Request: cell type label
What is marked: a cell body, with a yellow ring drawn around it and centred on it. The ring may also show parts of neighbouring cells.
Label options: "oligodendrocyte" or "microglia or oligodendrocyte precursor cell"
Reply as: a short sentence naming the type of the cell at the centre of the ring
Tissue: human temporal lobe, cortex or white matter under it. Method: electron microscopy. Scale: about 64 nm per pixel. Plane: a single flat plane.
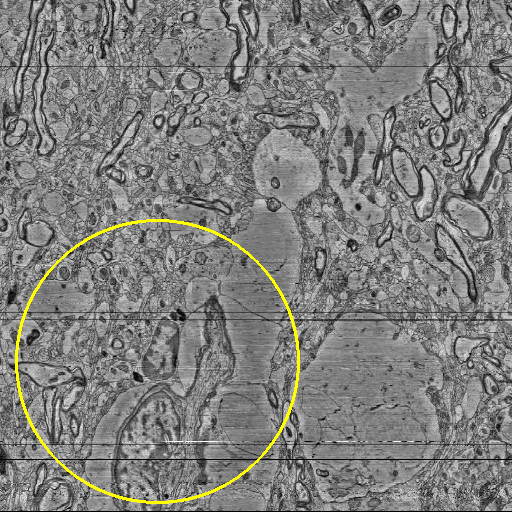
The marked cell body is that of a microglial cell or oligodendrocyte precursor cell.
